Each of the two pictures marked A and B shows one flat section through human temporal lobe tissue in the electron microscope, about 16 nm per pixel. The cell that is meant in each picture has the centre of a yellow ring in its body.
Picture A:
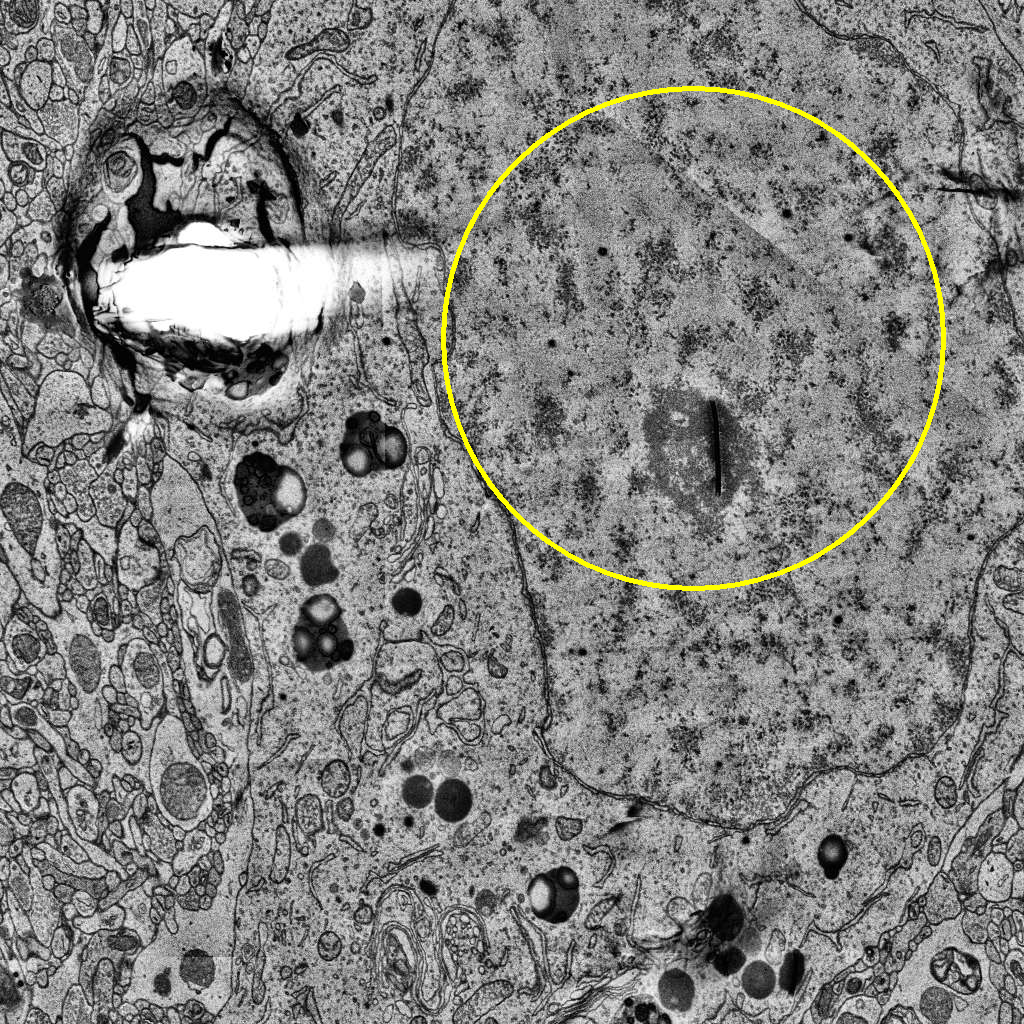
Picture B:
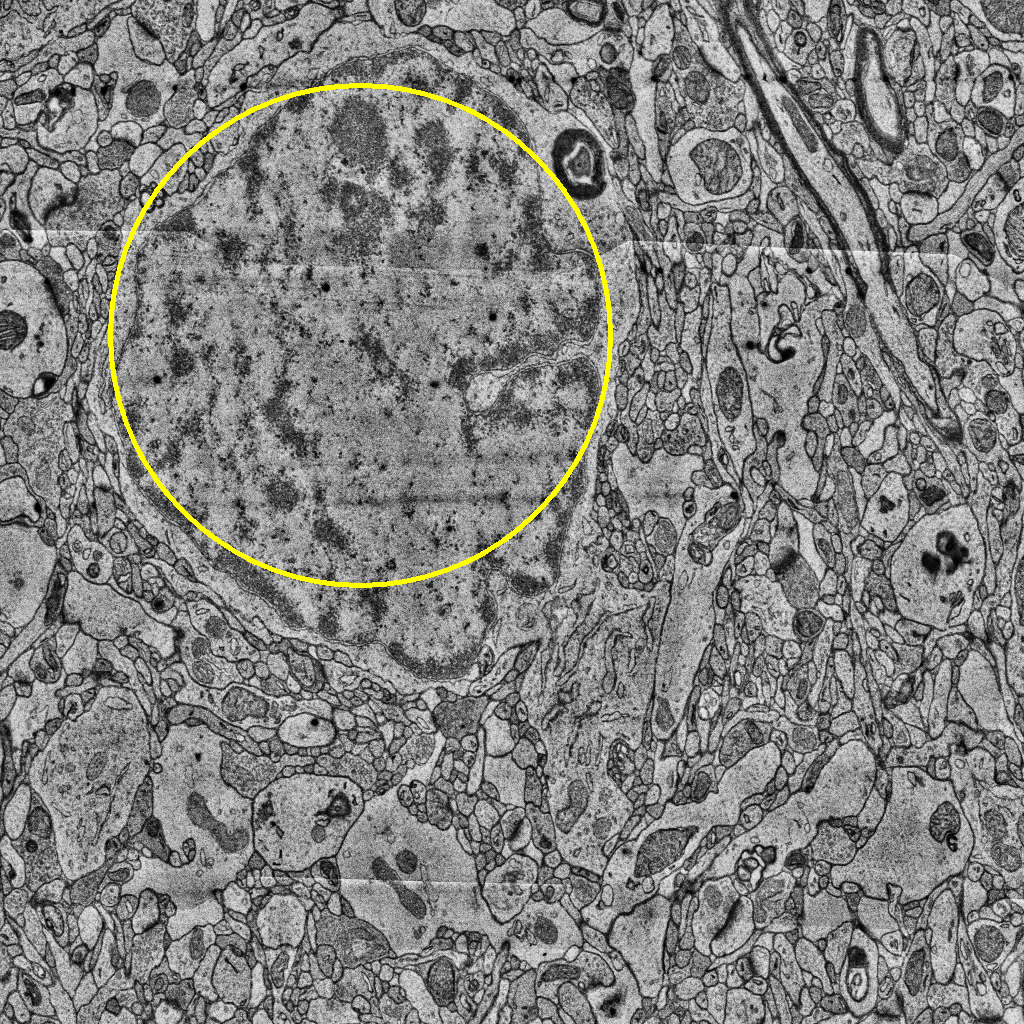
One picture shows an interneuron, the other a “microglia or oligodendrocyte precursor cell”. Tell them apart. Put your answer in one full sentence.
Picture B shows a “microglia or oligodendrocyte precursor cell”, while picture A shows an interneuron.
